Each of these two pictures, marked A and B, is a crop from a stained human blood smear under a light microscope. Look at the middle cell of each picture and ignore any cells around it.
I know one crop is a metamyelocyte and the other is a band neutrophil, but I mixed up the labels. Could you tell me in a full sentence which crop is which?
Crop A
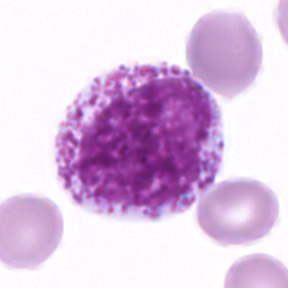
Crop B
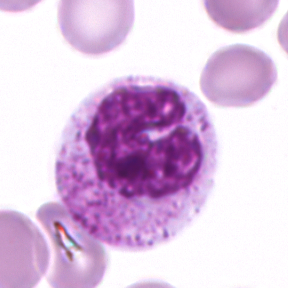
Crop A corresponds to a metamyelocyte, and crop B corresponds to a band neutrophil.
